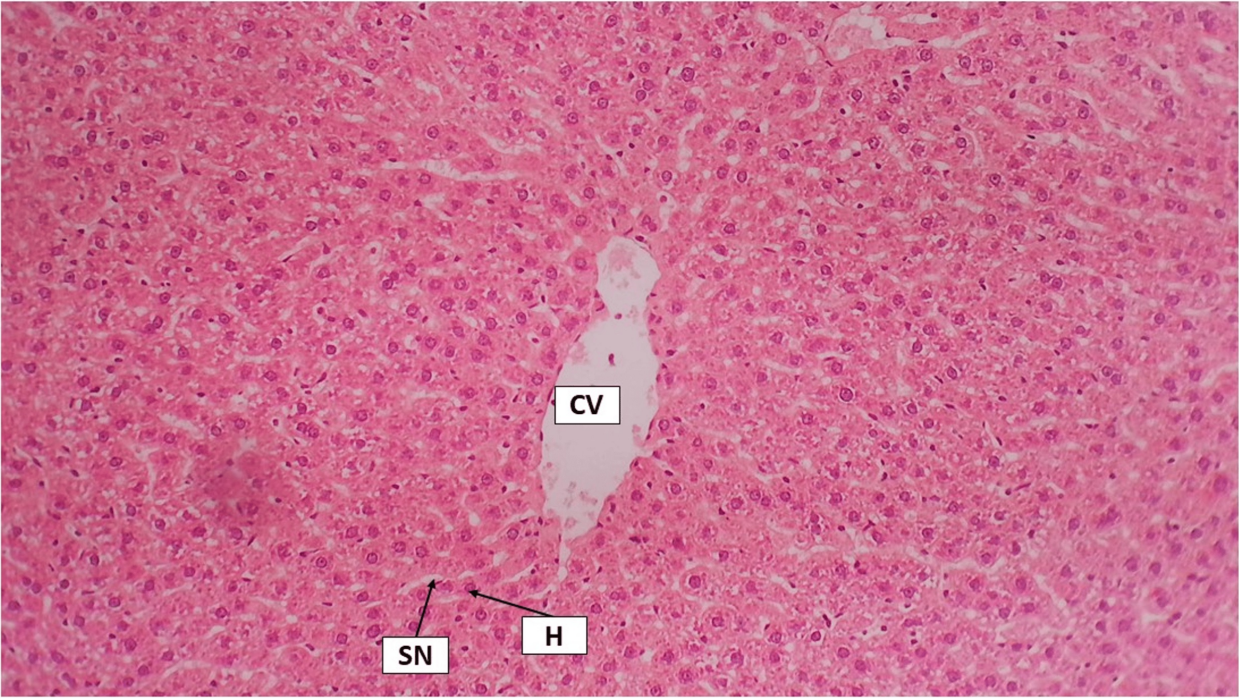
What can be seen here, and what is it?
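This is liver, centred on a central vein, the irregular empty lumen in the middle of the field. Plates of hepatocytes run out from it like spokes. The hepatocytes are polygonal cells with abundant, finely granular pink cytoplasm, and each has a round, centrally placed purple nucleus, often with a visible nucleolus. Between the cell plates lie narrow pale sinusoids, and a few small dark elongated nuclei line them. No inflammatory infiltrate, cell dropout or vacuolation is evident, and the architecture looks like normal liver.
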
